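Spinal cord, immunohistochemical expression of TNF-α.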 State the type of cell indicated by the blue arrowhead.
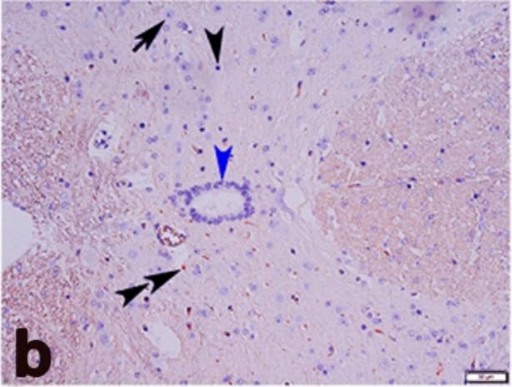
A: Ependymal cells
